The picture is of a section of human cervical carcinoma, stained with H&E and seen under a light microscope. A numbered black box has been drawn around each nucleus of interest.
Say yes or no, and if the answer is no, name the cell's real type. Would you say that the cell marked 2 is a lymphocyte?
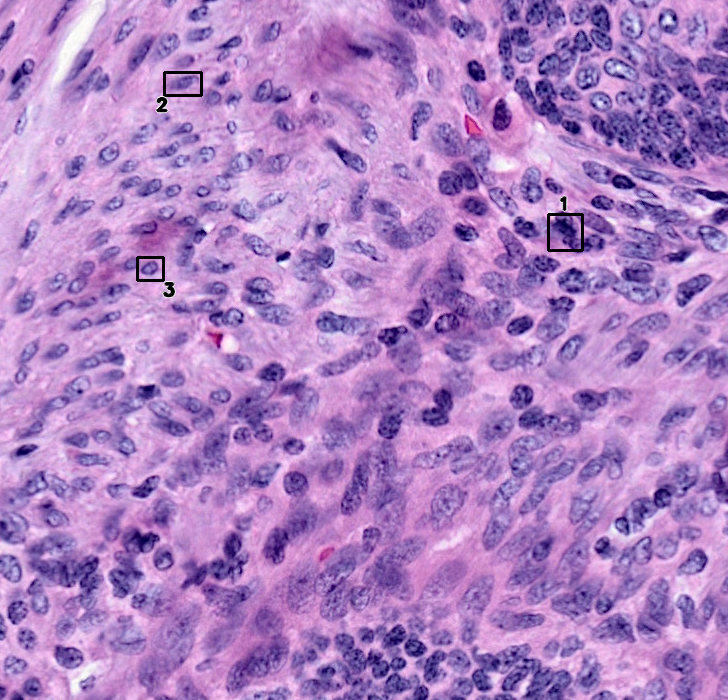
No, it is a smooth muscle cell.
